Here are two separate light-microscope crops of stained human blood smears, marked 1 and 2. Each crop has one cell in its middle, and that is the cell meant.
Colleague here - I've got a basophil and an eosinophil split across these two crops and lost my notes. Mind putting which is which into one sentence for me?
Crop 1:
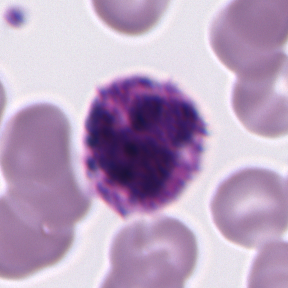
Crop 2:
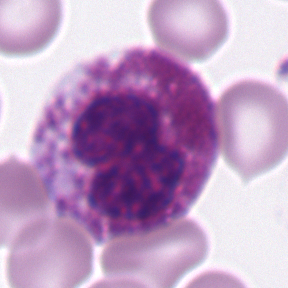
The cell of interest in crop 1 is a basophil, and in crop 2 it is an eosinophil.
